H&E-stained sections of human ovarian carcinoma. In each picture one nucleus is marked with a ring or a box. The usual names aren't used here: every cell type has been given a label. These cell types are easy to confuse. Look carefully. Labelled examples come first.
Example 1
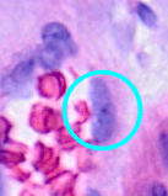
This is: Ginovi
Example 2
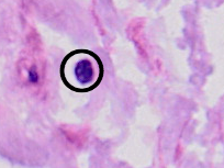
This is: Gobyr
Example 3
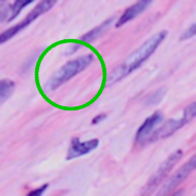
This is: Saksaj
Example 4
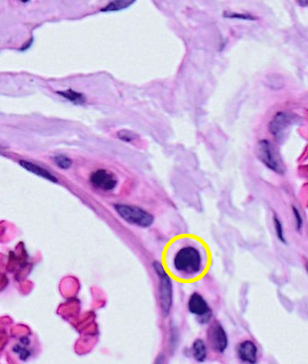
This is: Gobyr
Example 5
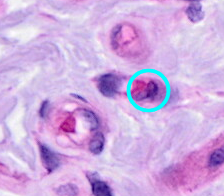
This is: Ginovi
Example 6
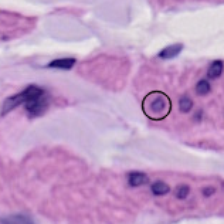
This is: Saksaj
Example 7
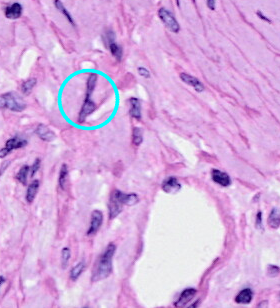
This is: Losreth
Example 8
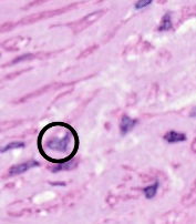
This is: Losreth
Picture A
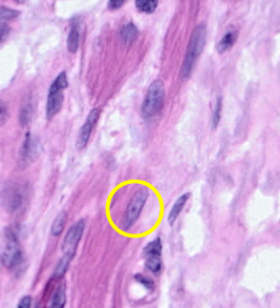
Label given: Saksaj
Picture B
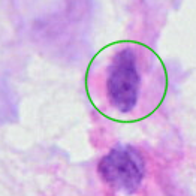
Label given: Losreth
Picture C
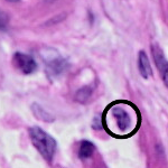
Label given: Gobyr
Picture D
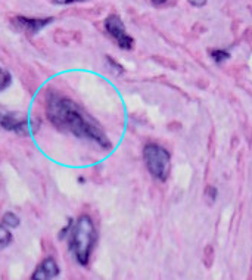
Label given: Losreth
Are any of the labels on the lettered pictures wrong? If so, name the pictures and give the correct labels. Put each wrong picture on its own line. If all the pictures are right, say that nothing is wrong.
Every label is right.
